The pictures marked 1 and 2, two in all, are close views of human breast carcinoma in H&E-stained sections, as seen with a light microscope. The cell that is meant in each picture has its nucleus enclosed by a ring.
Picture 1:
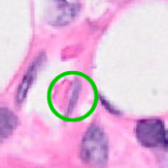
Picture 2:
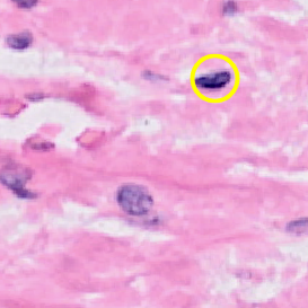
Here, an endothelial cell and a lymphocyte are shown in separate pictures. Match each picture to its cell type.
1: endothelial cell
2: lymphocyte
